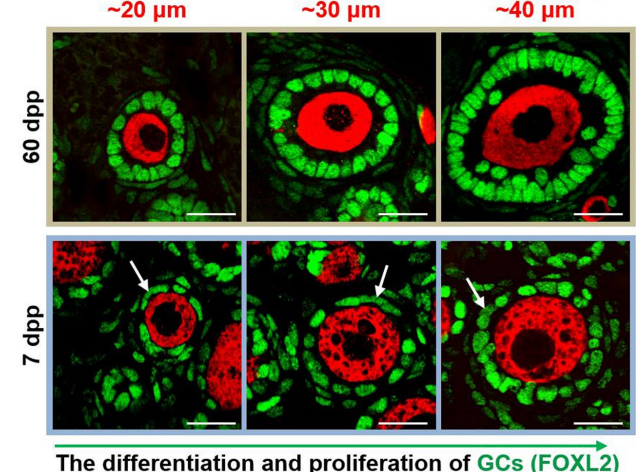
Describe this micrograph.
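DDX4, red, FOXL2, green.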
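These are growing ovarian follicles, each built around a large oocyte filled with red cytoplasm and holding a dark round nucleus, wrapped by smaller cells with green nuclei. In the upper row the surrounding cells become cuboidal as the oocyte enlarges, forming a continuous, crowded layer that thickens around the largest oocyte. In the lower row the oocytes are just as large, but many surrounding cells stay thin and flattened against the oocyte surface, and the arrows point to such flattened cells. The red cytoplasm of the lower-row oocytes also looks mottled, with many small dark spots.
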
